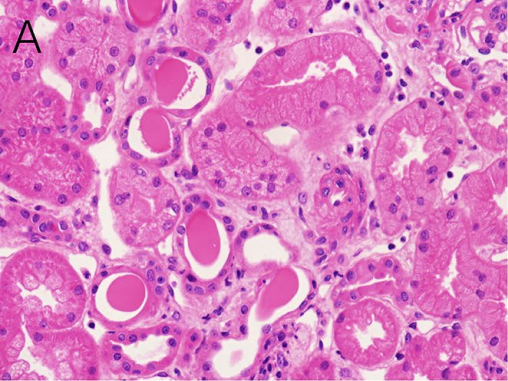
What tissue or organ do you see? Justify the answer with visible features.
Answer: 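Tubules lined by tall cuboidal cells with abundant granular pink cytoplasm. Luminal borders are fuzzy, brush-border-like.
Proximal tubules.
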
